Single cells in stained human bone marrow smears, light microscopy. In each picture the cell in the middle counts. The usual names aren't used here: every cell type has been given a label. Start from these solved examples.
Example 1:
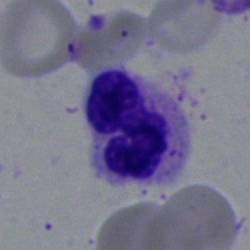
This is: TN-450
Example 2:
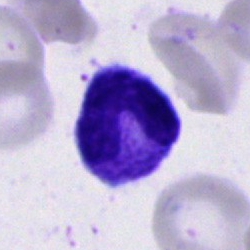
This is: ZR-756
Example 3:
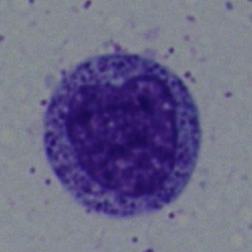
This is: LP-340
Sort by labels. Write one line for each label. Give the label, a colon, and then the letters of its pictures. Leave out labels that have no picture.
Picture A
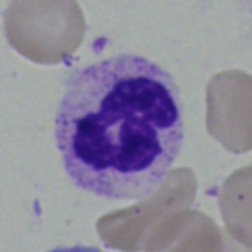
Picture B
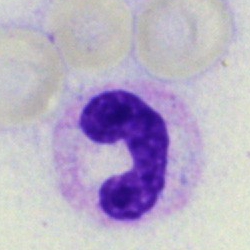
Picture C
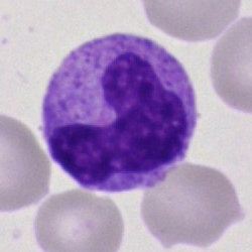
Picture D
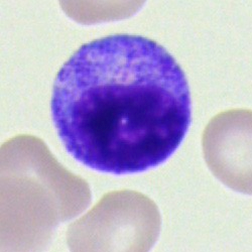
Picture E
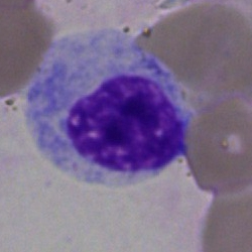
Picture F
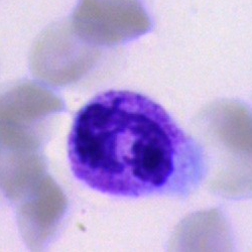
TN-450: A, F
ZR-756: B, C
LP-340: D, E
